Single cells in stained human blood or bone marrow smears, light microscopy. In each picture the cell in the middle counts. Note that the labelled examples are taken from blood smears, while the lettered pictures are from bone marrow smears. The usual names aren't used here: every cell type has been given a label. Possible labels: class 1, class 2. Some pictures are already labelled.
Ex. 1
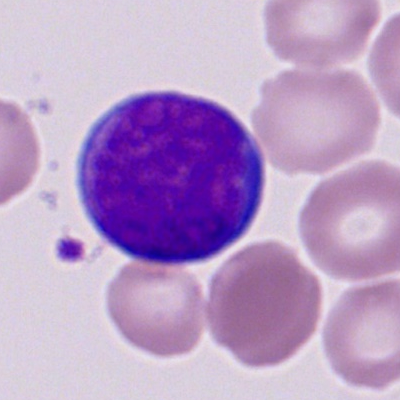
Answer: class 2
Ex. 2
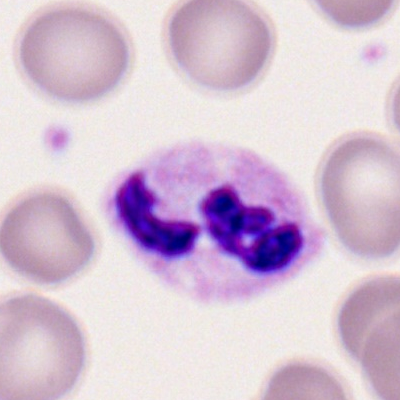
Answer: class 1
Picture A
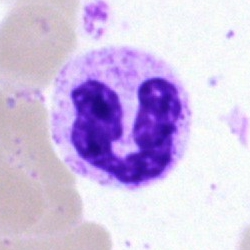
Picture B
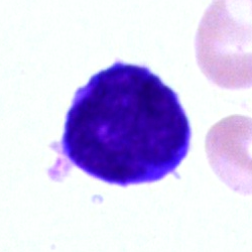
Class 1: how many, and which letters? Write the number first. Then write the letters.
1, namely A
